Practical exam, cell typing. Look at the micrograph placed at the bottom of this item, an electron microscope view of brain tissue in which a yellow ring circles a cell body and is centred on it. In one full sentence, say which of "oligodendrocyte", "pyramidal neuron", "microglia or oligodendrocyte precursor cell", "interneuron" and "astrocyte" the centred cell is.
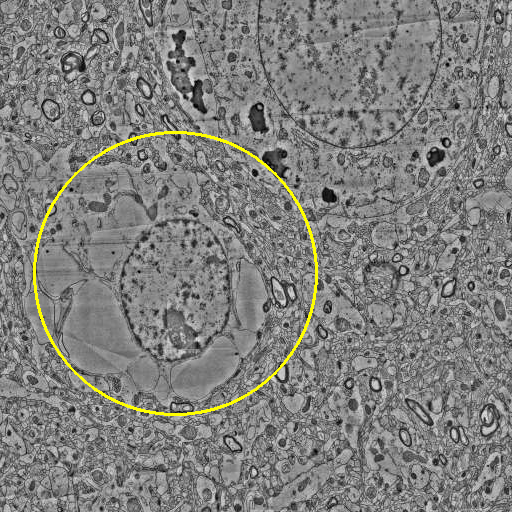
Given the options, an astrocyte fits the cell whose body the yellow ring is centred on.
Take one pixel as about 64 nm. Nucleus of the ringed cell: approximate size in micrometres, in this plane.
The ringed cell's nucleus is about 9 micrometres long and 7 micrometres wide in this plane.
